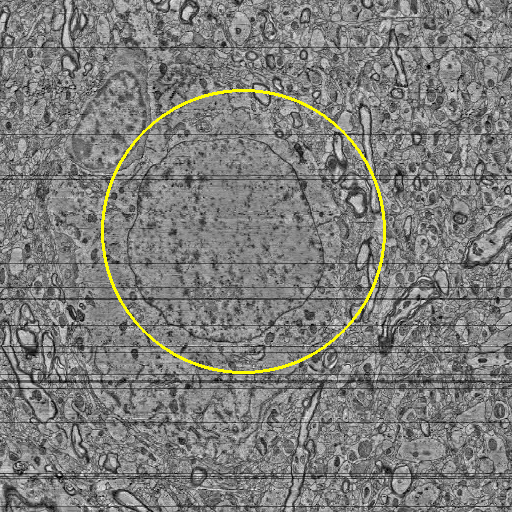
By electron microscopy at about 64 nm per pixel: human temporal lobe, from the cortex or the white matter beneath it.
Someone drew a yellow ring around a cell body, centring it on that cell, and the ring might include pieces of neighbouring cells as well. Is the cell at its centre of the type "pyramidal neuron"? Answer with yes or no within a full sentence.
Yes, within the picture, the cell the ring is centred on qualifies as that type.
